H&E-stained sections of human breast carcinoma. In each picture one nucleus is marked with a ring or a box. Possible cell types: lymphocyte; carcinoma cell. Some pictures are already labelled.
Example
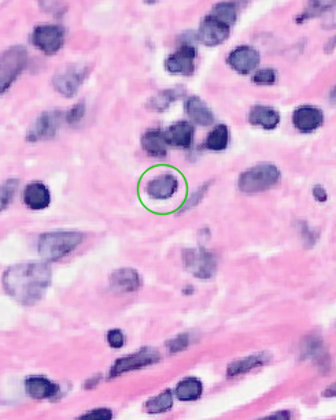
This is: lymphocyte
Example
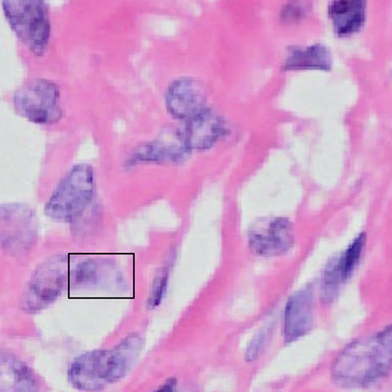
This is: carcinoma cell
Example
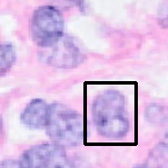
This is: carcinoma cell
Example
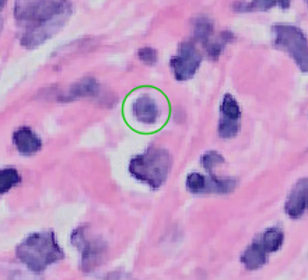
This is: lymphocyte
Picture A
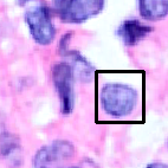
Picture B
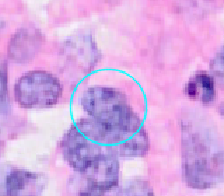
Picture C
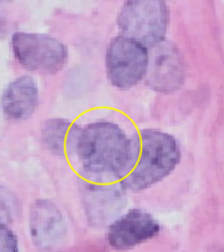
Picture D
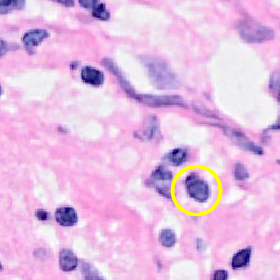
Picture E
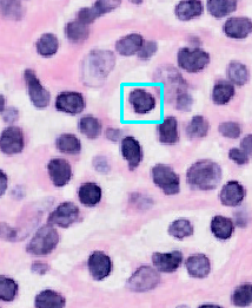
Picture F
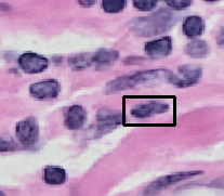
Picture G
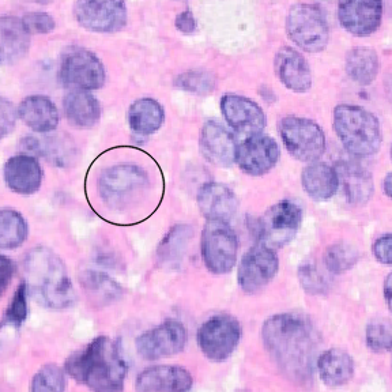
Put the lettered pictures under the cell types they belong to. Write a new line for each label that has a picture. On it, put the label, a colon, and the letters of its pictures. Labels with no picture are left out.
lymphocyte: D, E, F
carcinoma cell: A, B, C, G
